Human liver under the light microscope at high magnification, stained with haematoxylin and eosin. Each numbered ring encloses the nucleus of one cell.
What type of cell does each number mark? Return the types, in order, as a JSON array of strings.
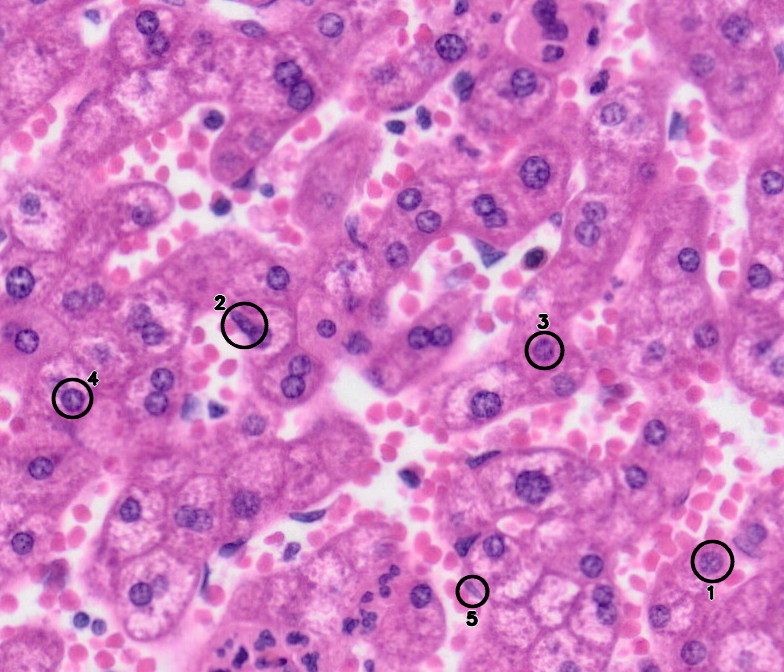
["hepatocyte", "fibroblast or stellate cell", "hepatocyte", "hepatocyte", "endothelial cell"]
